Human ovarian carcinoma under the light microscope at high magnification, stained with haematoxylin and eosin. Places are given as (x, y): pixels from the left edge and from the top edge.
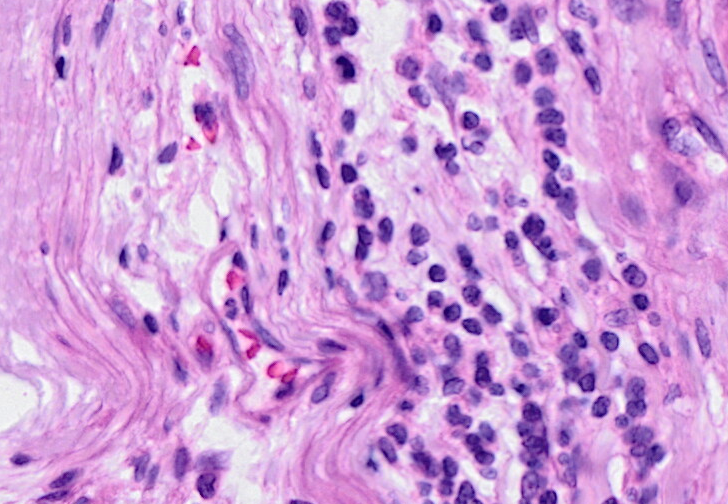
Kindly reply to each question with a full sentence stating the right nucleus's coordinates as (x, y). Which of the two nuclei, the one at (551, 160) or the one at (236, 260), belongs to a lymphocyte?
Between the two nuclei, the one sitting at (551, 160) belongs to a lymphocyte.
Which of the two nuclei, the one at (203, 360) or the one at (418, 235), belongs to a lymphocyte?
Between the pair, the nucleus at (418, 235) belongs to a lymphocyte.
